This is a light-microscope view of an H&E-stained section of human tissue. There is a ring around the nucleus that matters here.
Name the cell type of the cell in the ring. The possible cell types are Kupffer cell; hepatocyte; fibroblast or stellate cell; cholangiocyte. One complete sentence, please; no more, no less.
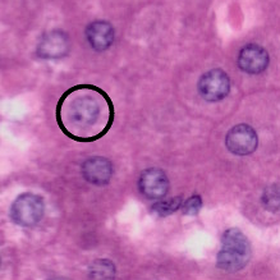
Cell type answer for this item: the cell in the ring is a hepatocyte.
